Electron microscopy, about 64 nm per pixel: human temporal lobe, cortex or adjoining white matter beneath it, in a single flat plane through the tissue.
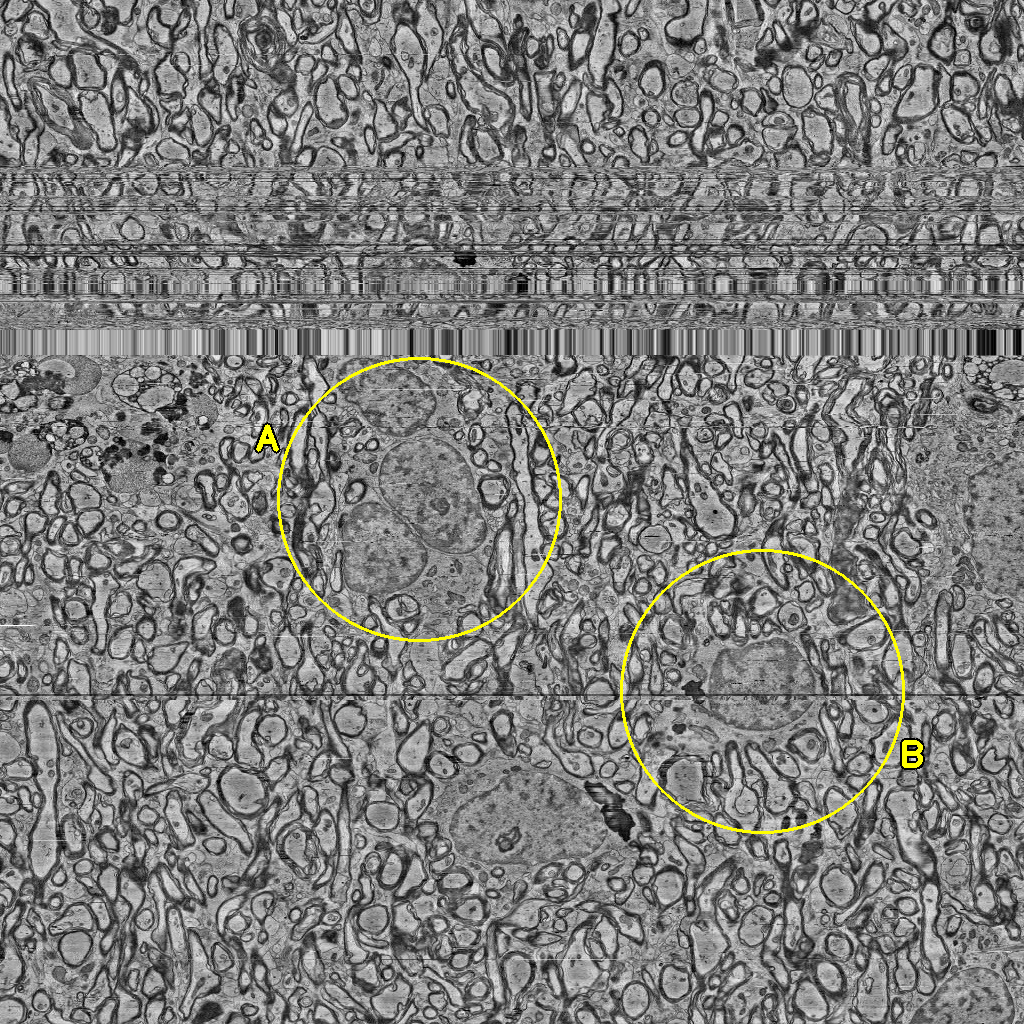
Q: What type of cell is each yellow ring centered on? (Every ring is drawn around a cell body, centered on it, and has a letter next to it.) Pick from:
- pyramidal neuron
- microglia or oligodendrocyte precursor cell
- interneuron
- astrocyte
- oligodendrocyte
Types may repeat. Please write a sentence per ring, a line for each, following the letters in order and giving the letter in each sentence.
The cell body centered in ring A belongs to an oligodendrocyte.
The cell body centered in ring B belongs to an oligodendrocyte.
